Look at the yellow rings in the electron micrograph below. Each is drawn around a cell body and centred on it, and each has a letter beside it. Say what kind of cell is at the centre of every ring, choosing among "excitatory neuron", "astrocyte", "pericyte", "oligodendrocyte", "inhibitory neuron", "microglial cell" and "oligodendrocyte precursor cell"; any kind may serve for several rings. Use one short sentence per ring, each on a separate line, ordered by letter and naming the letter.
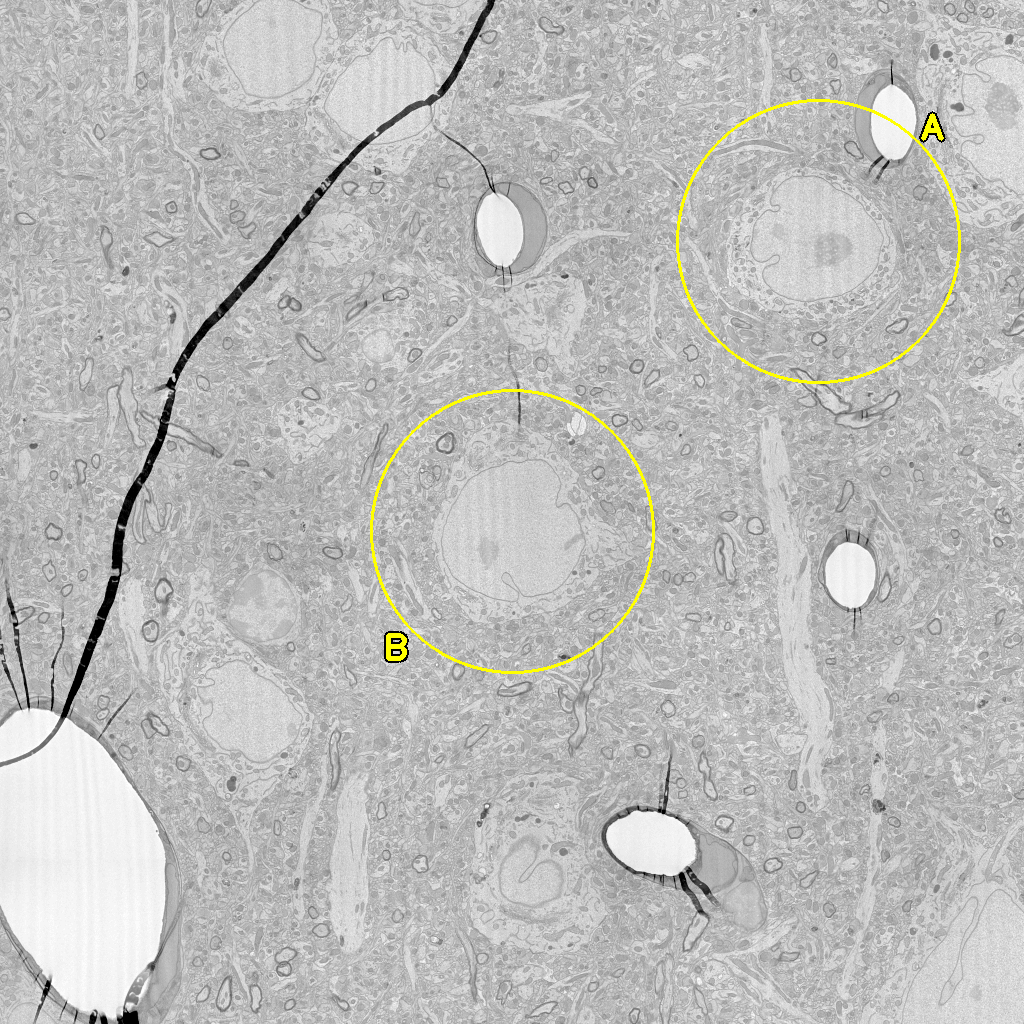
Ring A encircles an inhibitory neuron.
Ring B encircles an excitatory neuron.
